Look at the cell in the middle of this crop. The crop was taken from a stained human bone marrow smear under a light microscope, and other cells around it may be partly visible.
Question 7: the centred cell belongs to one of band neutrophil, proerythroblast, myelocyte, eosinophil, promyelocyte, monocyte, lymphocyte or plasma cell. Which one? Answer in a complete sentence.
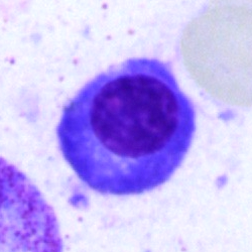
By classification, the middle cell of this crop is a plasma cell.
